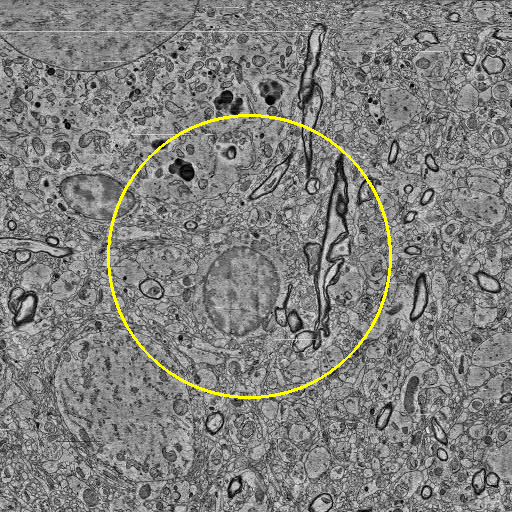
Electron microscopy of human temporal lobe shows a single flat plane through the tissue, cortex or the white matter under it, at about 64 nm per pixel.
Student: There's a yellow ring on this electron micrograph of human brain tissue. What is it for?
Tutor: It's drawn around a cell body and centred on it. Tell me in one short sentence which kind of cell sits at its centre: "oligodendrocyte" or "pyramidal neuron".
The cell at the centre of the ring is an oligodendrocyte.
